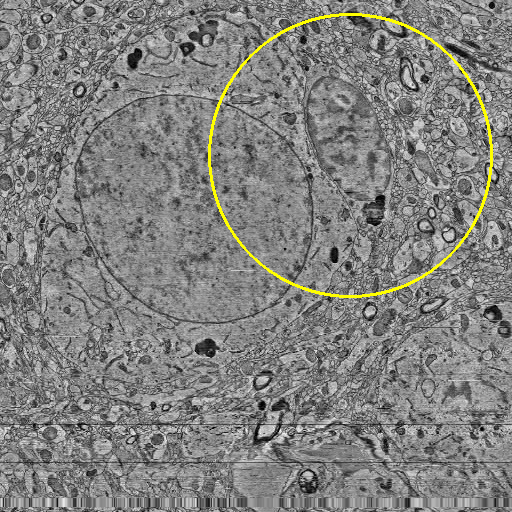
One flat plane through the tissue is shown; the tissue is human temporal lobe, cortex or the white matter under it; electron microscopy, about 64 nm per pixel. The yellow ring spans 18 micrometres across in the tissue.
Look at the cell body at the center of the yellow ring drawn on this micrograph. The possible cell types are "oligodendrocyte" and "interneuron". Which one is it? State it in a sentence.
The cell in the middle of the ring is an oligodendrocyte.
